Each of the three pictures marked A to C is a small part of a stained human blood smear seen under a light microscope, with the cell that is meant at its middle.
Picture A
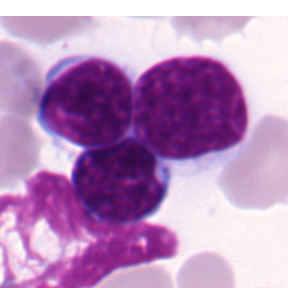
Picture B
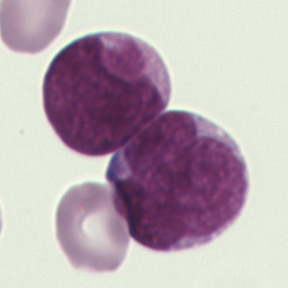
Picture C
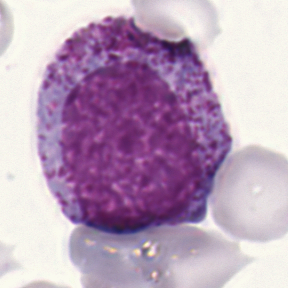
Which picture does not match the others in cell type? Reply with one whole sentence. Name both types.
Unlike the rest, which show myeloblasts, picture C shows a promyelocyte.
